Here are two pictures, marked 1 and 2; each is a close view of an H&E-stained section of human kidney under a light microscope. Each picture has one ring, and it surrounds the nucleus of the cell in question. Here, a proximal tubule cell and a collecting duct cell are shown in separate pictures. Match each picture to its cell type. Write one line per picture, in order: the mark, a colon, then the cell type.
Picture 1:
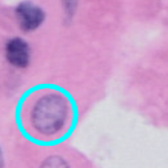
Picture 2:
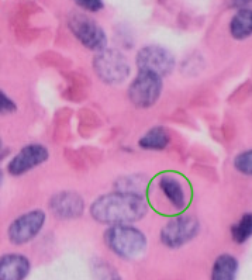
1: proximal tubule cell
2: collecting duct cell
